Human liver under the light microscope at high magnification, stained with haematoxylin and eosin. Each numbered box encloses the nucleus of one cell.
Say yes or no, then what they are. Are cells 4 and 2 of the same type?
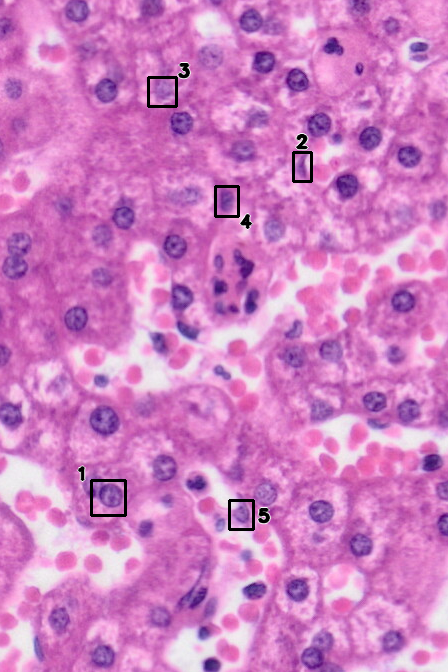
No, that's wrong; cell 4 is a fibroblast or stellate cell and cell 2 is an endothelial cell.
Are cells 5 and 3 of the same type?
No, sorry to say, cell 5 is a Kupffer cell and cell 3 is a hepatocyte.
